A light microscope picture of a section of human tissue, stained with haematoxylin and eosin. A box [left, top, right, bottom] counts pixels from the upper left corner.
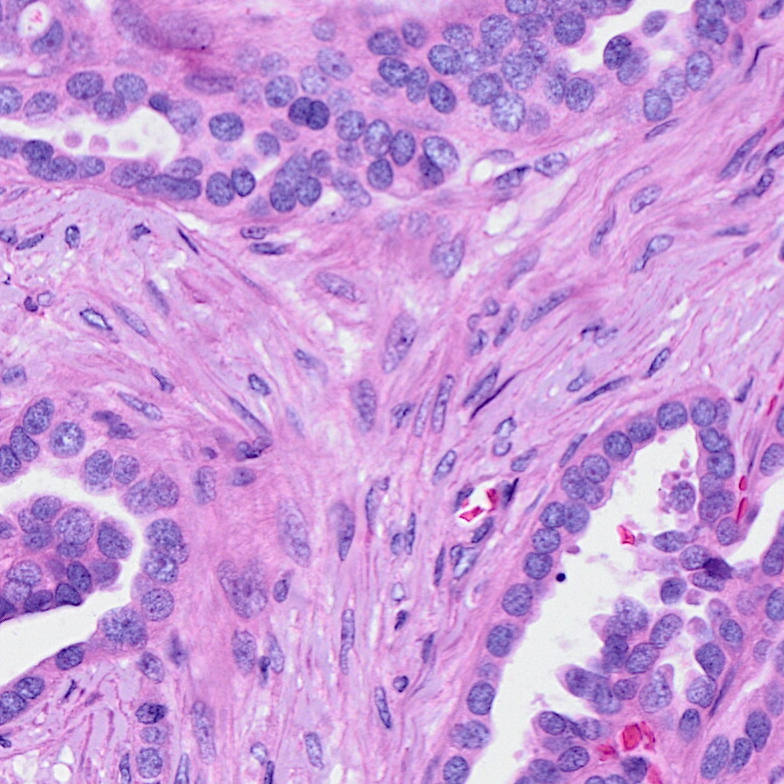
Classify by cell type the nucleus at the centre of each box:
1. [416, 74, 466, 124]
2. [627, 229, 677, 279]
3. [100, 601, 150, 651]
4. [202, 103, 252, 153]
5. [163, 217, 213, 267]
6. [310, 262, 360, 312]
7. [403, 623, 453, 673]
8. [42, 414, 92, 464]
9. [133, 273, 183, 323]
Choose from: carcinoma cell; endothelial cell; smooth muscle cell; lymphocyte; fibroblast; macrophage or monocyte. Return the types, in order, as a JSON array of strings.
["carcinoma cell", "fibroblast", "carcinoma cell", "carcinoma cell", "fibroblast", "fibroblast", "fibroblast", "carcinoma cell", "fibroblast"]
